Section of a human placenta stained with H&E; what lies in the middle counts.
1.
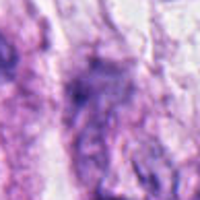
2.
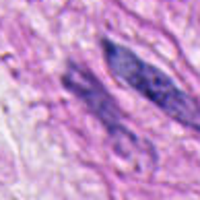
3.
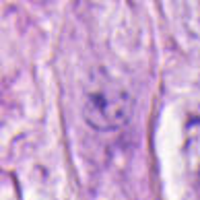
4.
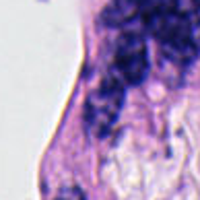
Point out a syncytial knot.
That is picture 4.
